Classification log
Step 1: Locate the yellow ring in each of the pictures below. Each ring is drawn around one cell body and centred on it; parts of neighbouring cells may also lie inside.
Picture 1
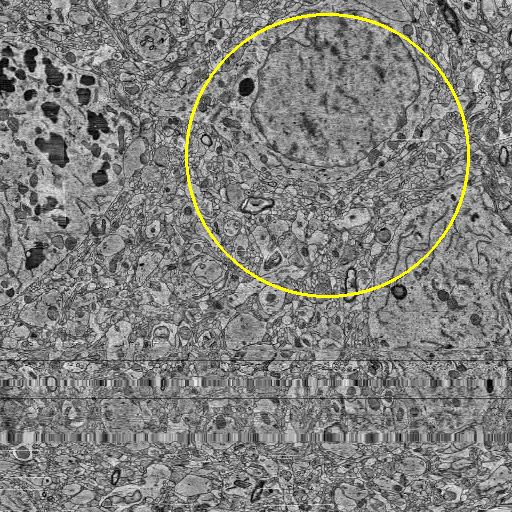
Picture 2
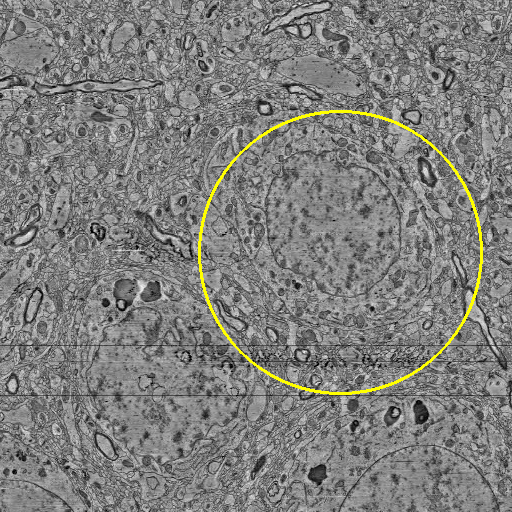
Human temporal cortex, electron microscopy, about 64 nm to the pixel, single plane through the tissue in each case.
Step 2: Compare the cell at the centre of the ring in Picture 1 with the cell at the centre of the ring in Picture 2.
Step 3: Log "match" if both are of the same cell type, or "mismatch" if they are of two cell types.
match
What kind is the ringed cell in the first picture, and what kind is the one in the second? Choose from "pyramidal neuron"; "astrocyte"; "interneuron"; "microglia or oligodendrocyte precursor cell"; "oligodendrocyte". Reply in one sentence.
Each cell, in the first picture and the second, is an interneuron.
